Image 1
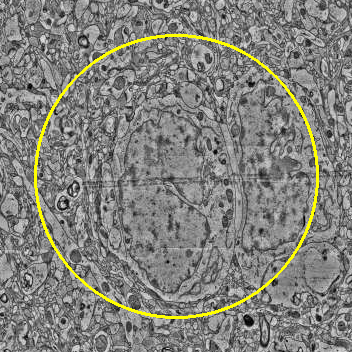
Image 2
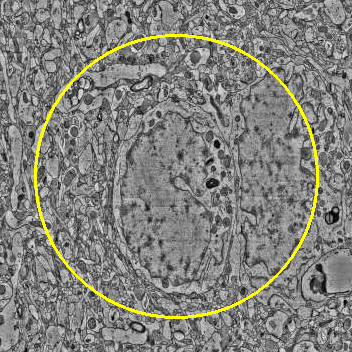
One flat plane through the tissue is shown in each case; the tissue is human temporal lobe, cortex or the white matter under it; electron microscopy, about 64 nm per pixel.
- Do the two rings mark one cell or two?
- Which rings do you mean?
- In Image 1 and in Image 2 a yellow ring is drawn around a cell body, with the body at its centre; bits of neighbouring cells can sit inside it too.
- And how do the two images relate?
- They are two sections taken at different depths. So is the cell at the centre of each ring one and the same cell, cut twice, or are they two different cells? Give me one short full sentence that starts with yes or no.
Yes, the second ring marks the same cell as the first.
